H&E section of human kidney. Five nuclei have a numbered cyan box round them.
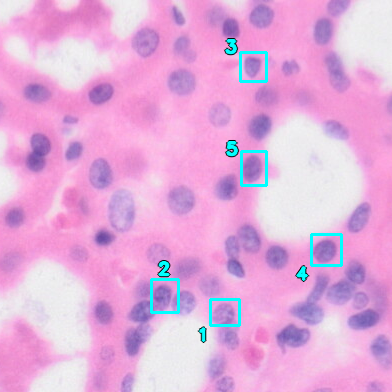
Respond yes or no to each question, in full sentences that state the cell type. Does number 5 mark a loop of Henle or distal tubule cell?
Yes, the cell that bears the number 5 is a loop of Henle or distal tubule cell.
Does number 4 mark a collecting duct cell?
No, the cell tagged 4 is a loop of Henle or distal tubule cell, and not a collecting duct cell.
